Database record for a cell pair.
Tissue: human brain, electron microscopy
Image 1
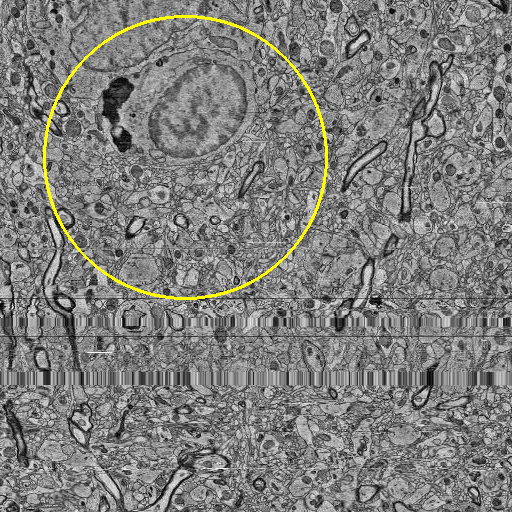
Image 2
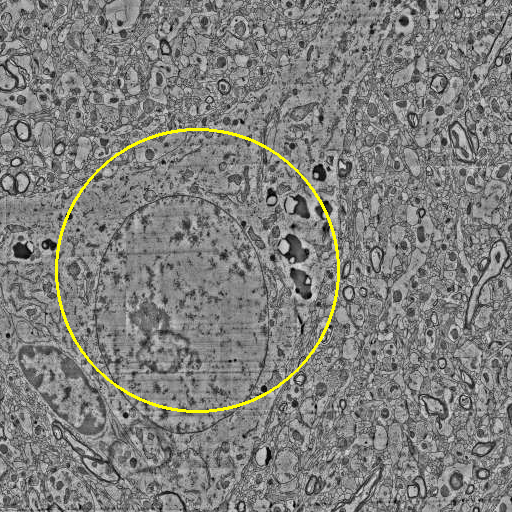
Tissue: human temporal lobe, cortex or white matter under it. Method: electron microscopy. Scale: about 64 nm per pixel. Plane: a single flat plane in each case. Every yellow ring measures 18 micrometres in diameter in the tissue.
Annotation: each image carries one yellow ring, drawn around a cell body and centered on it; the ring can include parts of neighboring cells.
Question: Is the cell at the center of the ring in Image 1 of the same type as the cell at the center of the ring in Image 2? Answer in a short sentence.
No, the cells are of two types.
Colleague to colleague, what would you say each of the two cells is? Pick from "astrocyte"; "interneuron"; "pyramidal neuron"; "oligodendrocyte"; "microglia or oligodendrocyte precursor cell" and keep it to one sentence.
The cell in the first picture is an oligodendrocyte; the second picture's cell is a pyramidal neuron.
